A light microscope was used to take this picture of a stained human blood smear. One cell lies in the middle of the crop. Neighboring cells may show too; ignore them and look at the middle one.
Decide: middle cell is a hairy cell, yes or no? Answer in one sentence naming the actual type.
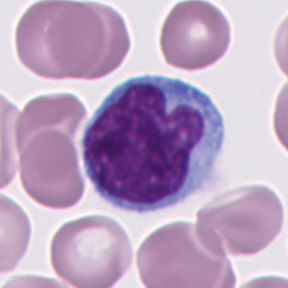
No, the cell sitting in the middle is a typical lymphocyte, and it is not a hairy cell.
